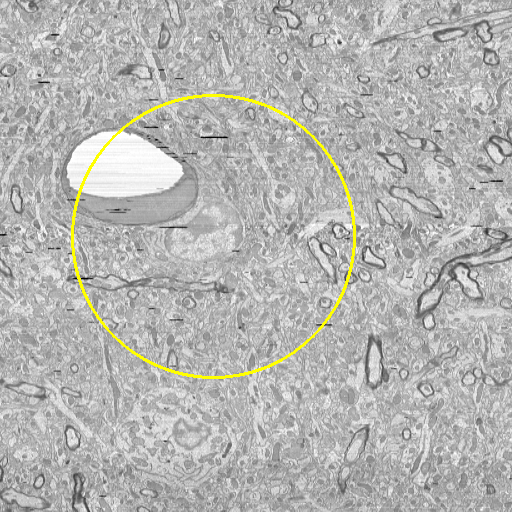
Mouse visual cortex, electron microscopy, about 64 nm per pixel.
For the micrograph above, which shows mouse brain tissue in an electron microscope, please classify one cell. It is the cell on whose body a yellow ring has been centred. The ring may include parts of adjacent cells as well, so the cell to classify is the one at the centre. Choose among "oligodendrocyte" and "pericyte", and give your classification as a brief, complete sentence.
I classify this cell as an oligodendrocyte.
